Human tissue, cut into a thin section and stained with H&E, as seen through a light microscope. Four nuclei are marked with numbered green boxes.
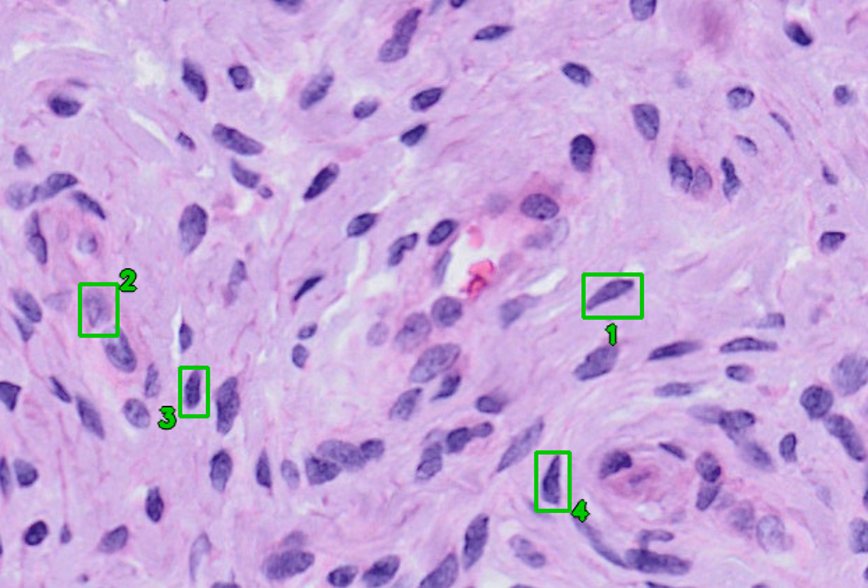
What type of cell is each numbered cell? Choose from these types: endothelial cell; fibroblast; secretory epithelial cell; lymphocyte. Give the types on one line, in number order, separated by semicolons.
fibroblast; endothelial cell; fibroblast; fibroblast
